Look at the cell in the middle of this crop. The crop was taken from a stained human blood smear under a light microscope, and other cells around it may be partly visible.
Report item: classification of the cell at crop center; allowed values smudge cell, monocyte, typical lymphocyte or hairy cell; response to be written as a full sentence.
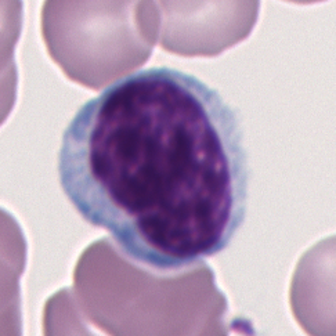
The cell at the central position in this crop is a typical lymphocyte.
